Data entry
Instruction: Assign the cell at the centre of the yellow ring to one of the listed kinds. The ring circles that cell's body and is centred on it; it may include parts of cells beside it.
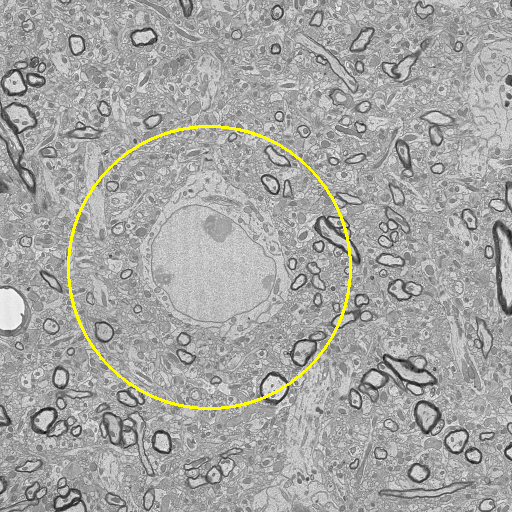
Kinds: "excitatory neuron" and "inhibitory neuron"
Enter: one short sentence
The centre of the ring falls on an excitatory neuron.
